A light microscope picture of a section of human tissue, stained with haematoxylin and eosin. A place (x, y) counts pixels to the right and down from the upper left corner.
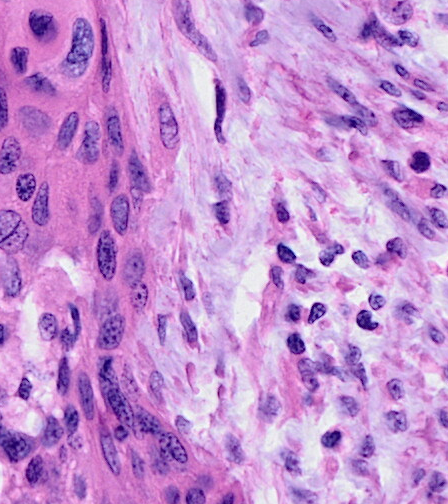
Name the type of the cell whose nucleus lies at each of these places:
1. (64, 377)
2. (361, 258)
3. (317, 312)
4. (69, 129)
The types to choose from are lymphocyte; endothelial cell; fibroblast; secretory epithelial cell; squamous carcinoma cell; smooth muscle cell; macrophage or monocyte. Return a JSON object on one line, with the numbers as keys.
{"1": "squamous carcinoma cell", "2": "lymphocyte", "3": "lymphocyte", "4": "squamous carcinoma cell"}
